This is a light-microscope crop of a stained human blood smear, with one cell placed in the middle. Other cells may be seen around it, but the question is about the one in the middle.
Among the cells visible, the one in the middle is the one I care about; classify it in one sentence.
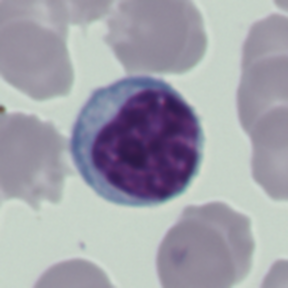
The centrally located cell in the crop is a typical lymphocyte.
